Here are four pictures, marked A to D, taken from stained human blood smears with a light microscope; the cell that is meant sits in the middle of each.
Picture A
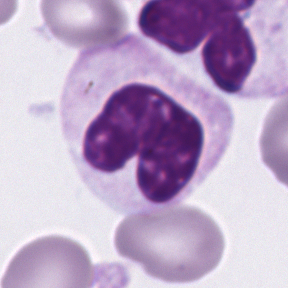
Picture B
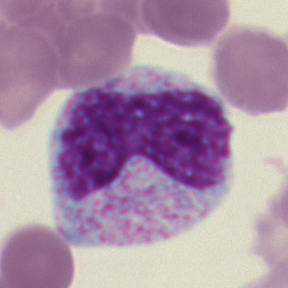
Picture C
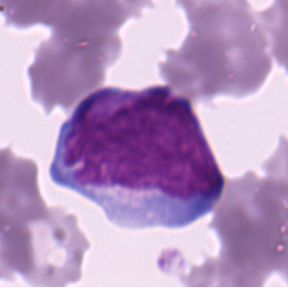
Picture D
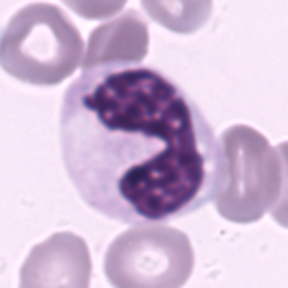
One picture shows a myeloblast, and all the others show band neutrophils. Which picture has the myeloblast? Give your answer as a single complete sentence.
It is picture C that shows the myeloblast.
